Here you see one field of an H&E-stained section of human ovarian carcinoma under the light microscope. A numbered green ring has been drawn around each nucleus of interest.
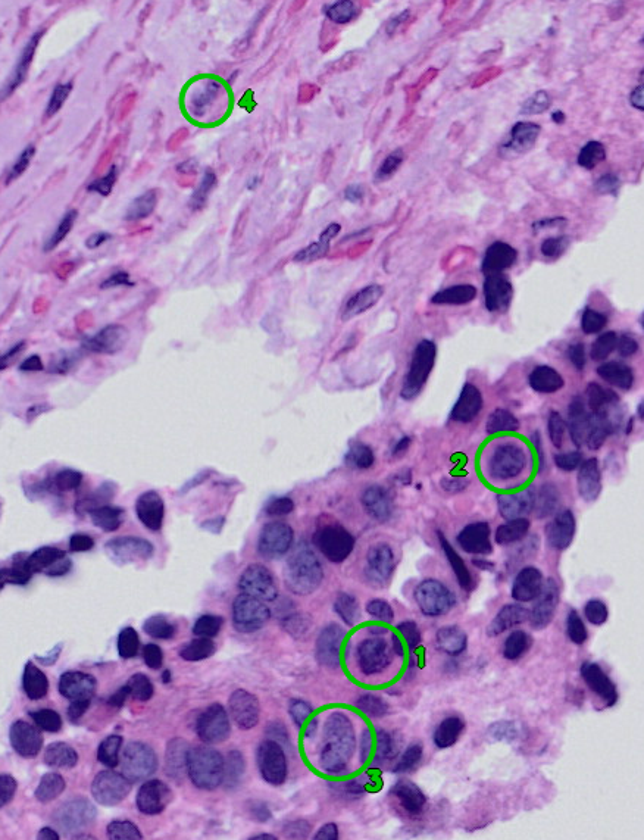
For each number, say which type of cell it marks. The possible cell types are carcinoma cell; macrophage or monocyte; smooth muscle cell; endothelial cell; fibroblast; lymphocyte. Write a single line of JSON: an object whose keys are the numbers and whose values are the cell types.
{"1": "carcinoma cell", "2": "carcinoma cell", "3": "carcinoma cell", "4": "fibroblast"}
